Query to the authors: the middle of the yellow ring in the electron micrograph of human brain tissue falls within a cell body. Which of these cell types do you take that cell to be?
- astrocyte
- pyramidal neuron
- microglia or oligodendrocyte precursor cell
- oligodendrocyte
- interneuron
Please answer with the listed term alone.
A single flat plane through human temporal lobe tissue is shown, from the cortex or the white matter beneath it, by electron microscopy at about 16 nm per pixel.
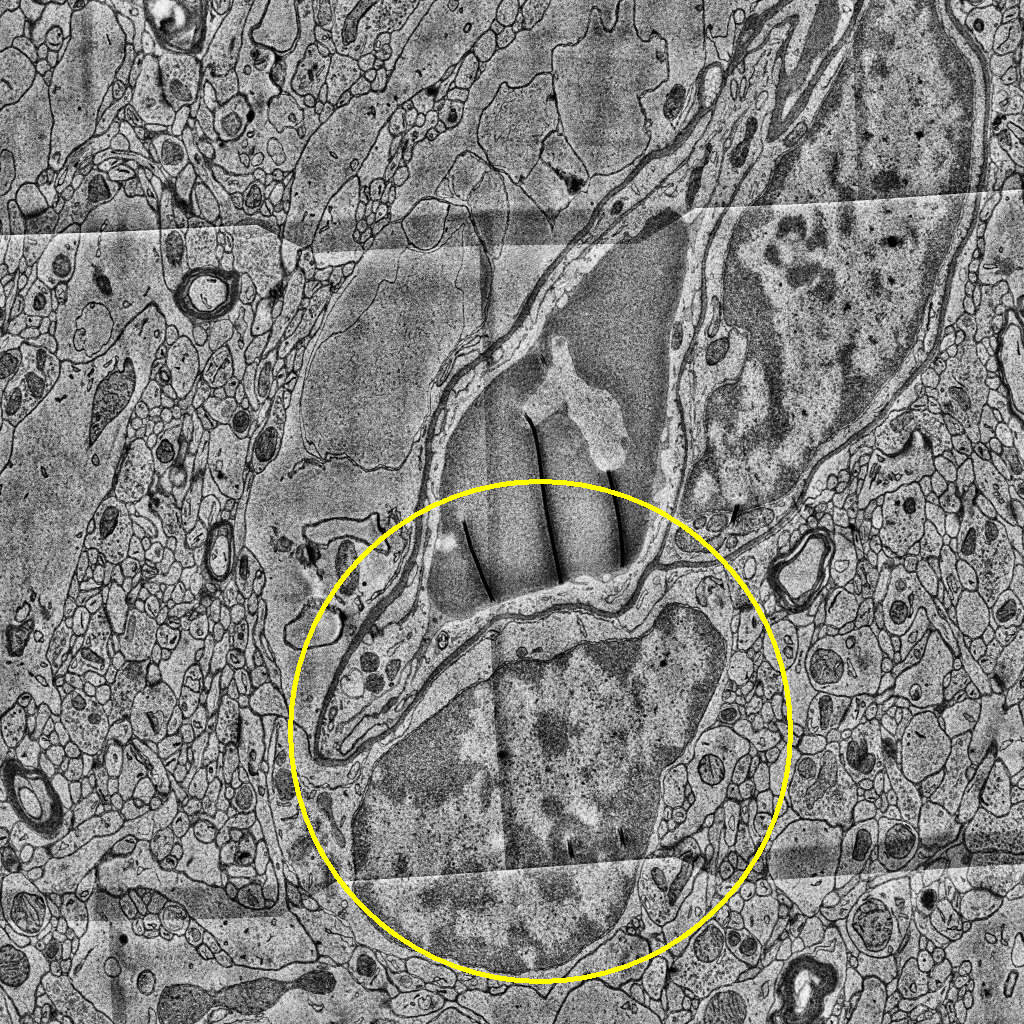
microglia or oligodendrocyte precursor cell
